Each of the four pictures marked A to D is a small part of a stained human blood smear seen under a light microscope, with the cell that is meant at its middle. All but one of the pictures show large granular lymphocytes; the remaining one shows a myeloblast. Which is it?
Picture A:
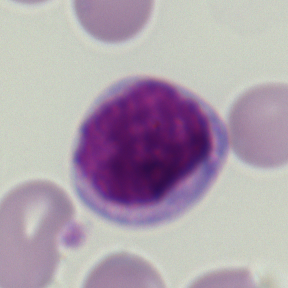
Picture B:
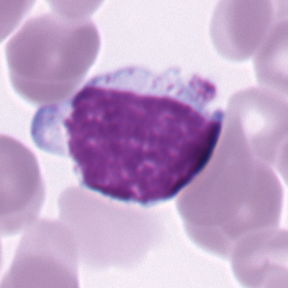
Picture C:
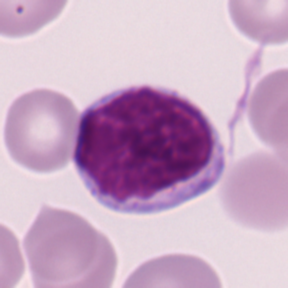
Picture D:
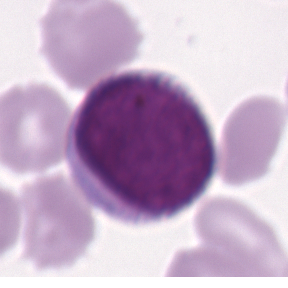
D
